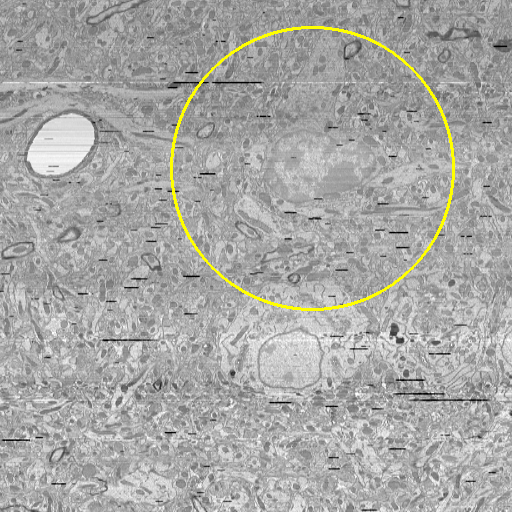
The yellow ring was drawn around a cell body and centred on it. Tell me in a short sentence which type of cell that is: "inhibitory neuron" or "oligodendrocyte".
The cell at the ring's centre is an oligodendrocyte.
